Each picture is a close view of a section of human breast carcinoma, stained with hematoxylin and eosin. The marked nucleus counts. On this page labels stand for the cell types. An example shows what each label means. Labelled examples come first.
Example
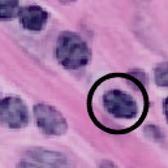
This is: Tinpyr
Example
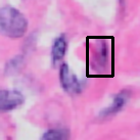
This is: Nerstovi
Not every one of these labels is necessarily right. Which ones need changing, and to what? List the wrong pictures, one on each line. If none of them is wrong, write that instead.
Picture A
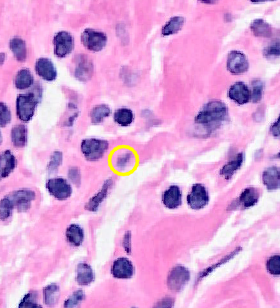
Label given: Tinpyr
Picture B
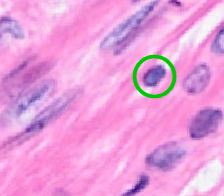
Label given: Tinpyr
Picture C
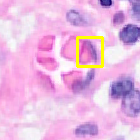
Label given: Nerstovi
No label is wrong.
